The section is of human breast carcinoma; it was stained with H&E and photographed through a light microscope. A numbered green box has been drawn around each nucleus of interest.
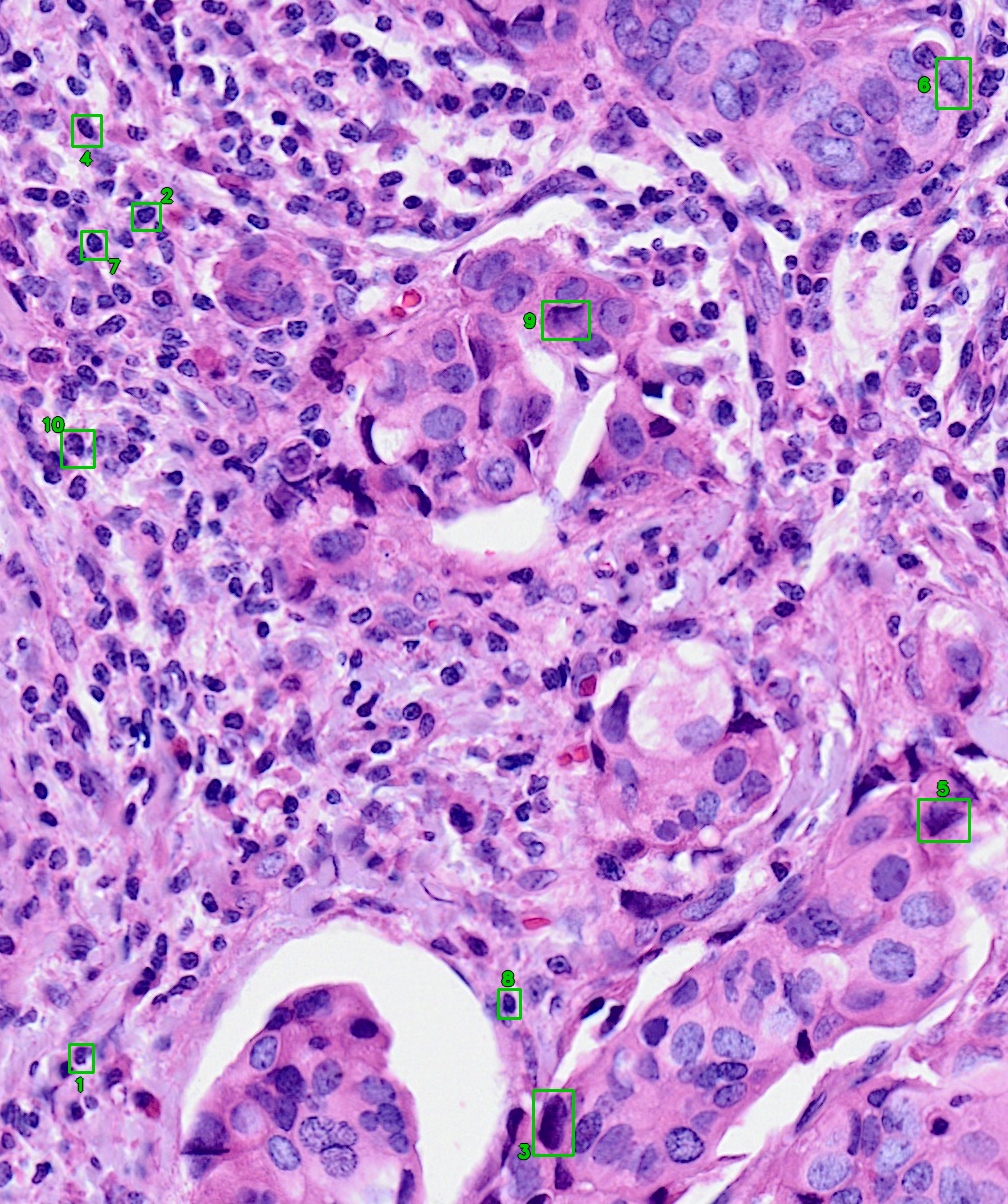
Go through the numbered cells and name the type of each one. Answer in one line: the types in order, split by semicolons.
lymphocyte; lymphocyte; carcinoma cell; lymphocyte; carcinoma cell; carcinoma cell; lymphocyte; lymphocyte; carcinoma cell; lymphocyte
